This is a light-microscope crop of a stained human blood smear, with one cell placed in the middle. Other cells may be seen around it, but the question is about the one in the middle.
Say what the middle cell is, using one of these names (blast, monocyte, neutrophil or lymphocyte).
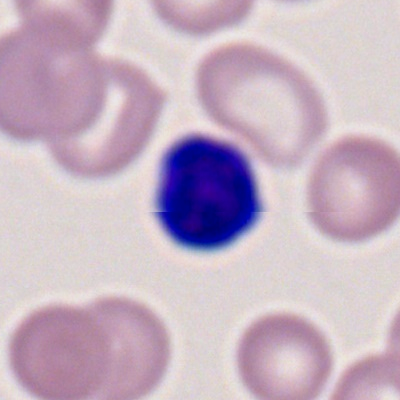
lymphocyte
